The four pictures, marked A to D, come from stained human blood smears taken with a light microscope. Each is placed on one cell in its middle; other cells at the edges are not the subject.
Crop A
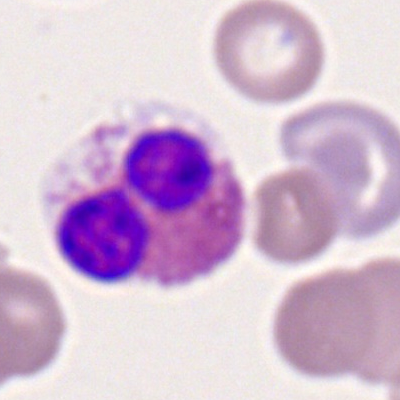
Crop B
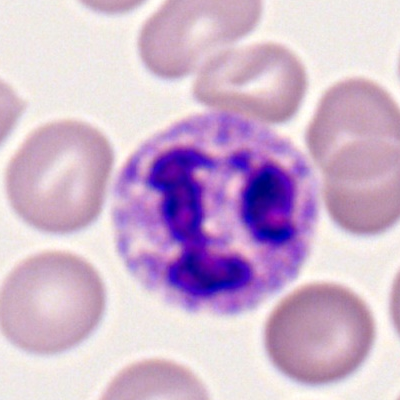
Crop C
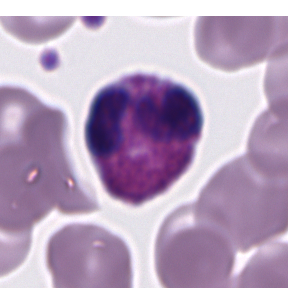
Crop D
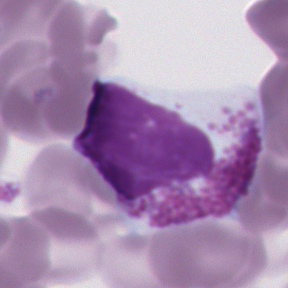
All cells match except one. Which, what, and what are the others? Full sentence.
Apart from crop B, which shows a segmented neutrophil, every crop shows eosinophils.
